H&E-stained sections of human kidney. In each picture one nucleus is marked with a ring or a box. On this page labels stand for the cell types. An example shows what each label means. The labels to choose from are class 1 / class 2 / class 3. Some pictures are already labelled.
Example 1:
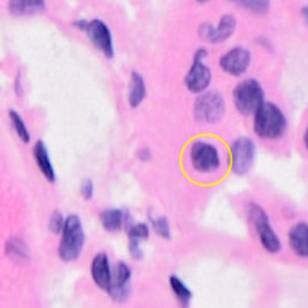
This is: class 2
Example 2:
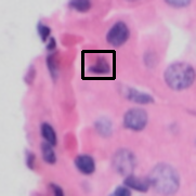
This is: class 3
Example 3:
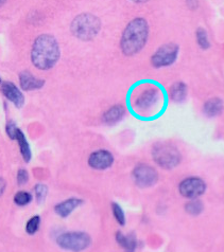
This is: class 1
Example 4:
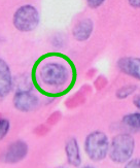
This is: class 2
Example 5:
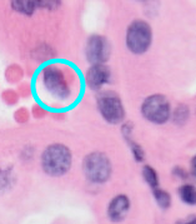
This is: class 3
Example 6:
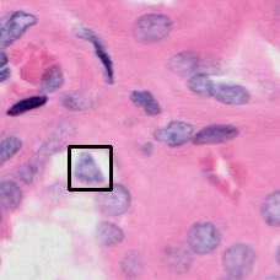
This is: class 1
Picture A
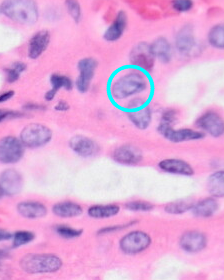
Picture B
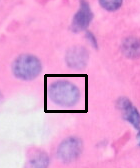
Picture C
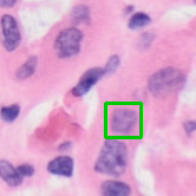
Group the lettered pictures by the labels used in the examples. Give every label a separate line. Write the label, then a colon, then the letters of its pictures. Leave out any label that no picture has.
class 1: B
class 2: A, C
